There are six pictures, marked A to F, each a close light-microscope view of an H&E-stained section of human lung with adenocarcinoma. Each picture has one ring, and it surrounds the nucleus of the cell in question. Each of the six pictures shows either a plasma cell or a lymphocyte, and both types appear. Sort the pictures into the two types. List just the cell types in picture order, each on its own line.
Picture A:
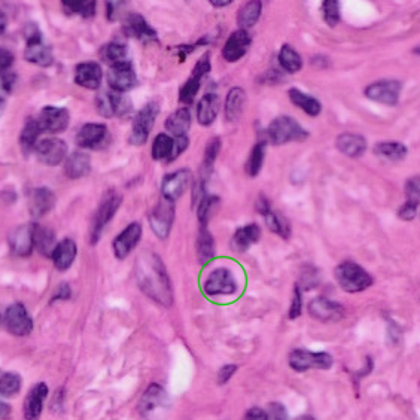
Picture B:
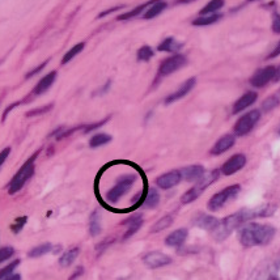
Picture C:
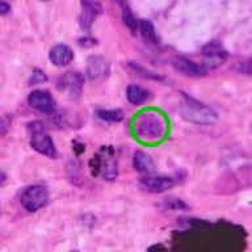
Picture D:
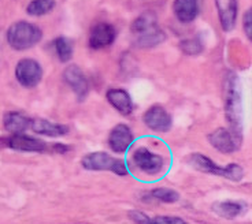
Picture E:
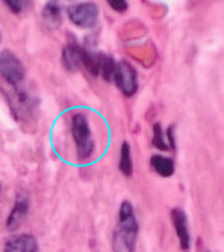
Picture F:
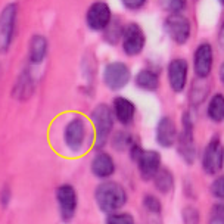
lymphocyte
lymphocyte
plasma cell
lymphocyte
plasma cell
lymphocyte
